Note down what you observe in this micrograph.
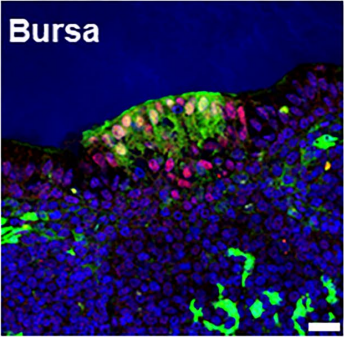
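Surface epithelium of the bursa overlying a densely cellular follicle, with a specialised cluster of epithelial cells. At the luminal surface a dome-shaped group of tall epithelial cells shows bright green cytoplasm and red nuclei. Red nuclei are also scattered in the epithelium on either side of this cluster. Beneath the epithelium lies a packed zone of small blue nuclei. Scattered green cells with branched shapes lie deeper in the tissue.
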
